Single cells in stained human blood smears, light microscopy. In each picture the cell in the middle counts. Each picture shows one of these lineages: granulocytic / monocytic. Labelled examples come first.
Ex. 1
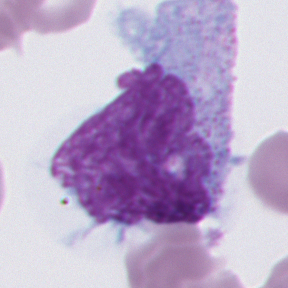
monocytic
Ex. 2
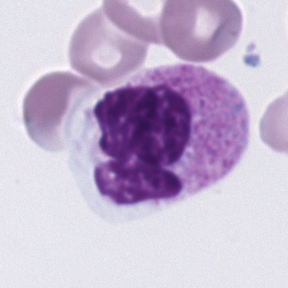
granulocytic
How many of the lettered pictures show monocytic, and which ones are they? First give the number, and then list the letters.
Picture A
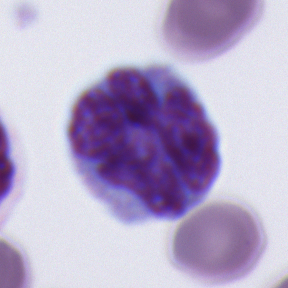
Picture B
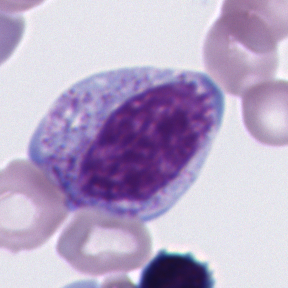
1: A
